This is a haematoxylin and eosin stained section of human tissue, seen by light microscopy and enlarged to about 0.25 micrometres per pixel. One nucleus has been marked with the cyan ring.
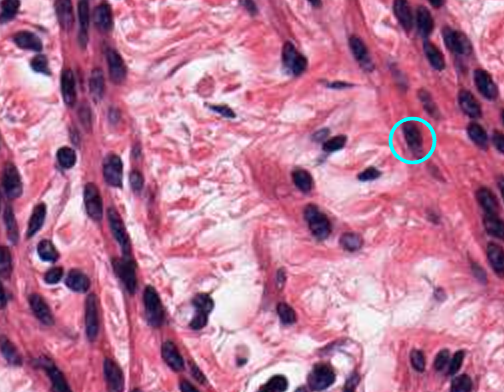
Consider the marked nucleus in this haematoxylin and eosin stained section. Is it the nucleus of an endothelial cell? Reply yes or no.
no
